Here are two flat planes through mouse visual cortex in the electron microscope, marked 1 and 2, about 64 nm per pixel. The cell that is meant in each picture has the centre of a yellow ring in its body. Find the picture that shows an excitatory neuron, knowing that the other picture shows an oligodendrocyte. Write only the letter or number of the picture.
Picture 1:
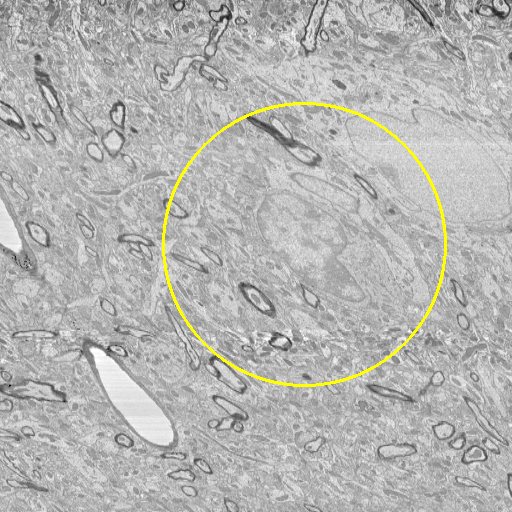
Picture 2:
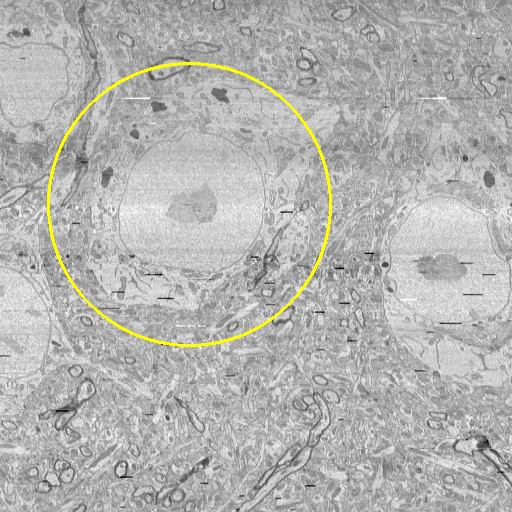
2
